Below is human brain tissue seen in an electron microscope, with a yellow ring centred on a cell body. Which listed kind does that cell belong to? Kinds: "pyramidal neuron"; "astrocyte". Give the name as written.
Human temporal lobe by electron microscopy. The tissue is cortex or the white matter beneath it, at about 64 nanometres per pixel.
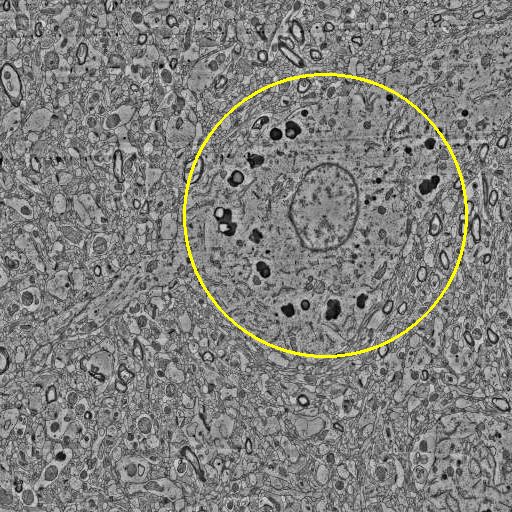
pyramidal neuron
